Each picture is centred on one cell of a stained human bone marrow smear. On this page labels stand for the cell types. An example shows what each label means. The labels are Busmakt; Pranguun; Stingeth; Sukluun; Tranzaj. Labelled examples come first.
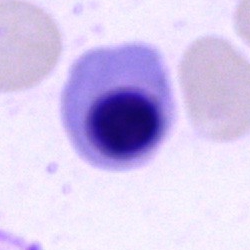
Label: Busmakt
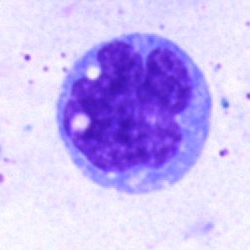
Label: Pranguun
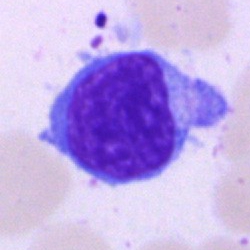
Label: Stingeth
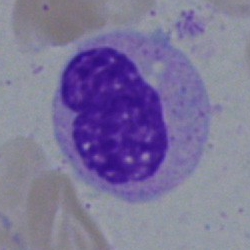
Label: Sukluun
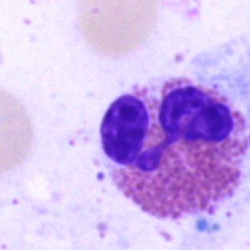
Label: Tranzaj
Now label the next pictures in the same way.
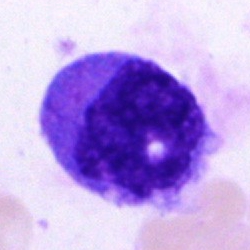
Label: Pranguun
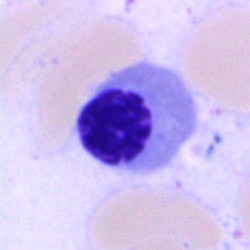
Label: Busmakt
